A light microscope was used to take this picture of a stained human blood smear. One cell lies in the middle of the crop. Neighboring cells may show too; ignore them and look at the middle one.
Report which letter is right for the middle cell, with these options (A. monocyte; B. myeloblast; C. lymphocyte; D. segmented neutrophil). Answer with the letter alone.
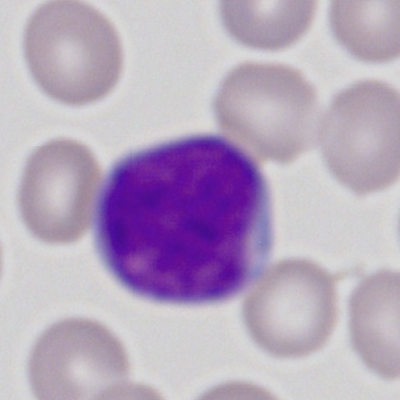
B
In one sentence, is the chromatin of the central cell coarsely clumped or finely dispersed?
The chromatin within its nucleus forms coarse clumps.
